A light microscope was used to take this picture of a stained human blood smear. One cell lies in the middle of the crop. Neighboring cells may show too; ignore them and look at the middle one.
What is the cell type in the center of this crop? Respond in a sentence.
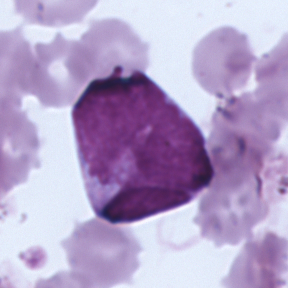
The middle of this crop holds a blast.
